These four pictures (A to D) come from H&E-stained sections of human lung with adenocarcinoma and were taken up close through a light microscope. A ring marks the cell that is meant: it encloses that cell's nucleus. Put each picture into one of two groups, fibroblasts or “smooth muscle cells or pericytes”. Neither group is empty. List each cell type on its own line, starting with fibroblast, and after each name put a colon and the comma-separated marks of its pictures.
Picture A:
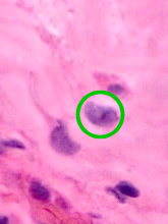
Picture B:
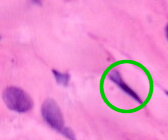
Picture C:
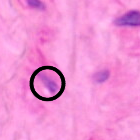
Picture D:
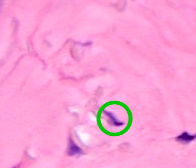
fibroblast: A, B, D
smooth muscle cell or pericyte: C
